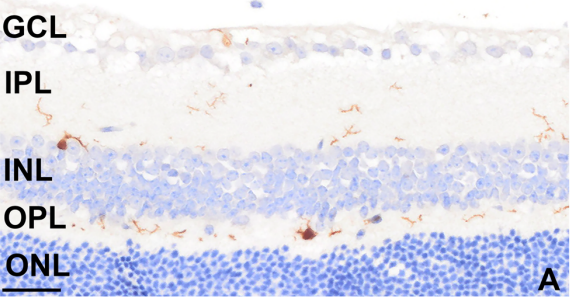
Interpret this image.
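This is a cross-section of retina with its layers stacked from the inner surface at the top to the photoreceptor nuclei at the bottom. A sparse row of pale nuclei lines the top, above a broad pale fibrous band; below lie a band of closely packed blue nuclei, a thin pale band, and a thick layer of very densely packed dark blue round nuclei. Brown-stained cells are few and small: mostly thin, finely branched profiles scattered within the two pale fibrous bands, with an occasional small dark brown cell body, and little brown in the top cell row.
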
